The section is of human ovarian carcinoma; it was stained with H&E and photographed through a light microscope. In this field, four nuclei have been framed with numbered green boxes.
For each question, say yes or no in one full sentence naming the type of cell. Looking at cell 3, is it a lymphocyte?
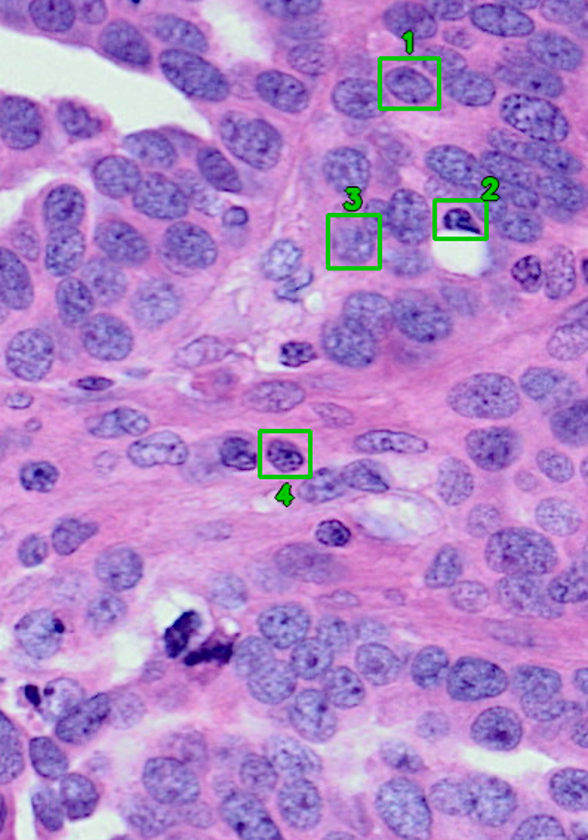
No; cell 3 is a carcinoma cell, not a lymphocyte.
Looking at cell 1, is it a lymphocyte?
No, cell 1 is a carcinoma cell; it is not a lymphocyte.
